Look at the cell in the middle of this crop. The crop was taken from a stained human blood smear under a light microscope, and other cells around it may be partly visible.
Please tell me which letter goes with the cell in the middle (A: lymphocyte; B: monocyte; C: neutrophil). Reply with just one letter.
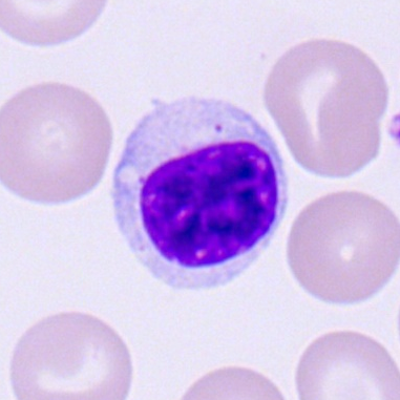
A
